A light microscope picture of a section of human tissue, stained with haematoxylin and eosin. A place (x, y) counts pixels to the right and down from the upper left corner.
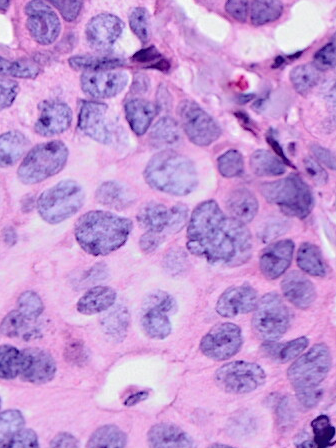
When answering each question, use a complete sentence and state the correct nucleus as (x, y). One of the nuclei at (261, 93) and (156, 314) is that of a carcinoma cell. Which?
Of the two, the nucleus at (156, 314) is the one contained in a carcinoma cell.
